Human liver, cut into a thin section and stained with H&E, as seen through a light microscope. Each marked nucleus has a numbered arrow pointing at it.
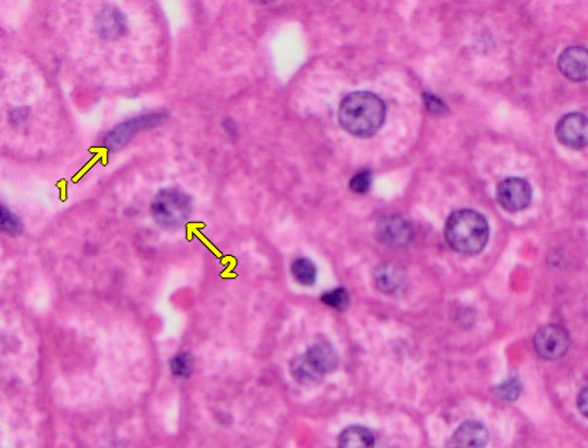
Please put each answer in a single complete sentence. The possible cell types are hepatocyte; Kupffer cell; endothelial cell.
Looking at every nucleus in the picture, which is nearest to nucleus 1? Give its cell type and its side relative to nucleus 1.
Just above and to the right of nucleus 1 lies the nearest nucleus, which belongs to a Kupffer cell.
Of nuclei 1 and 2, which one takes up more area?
Nucleus 2 is the larger one, covering about 2 times the area of nucleus 1.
